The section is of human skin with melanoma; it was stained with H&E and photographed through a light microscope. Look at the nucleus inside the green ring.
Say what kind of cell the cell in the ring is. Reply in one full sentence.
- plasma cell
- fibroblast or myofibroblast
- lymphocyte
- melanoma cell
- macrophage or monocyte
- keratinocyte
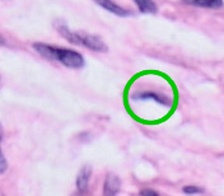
Microscopically, the cell in the ring is categorized as a fibroblast or myofibroblast.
